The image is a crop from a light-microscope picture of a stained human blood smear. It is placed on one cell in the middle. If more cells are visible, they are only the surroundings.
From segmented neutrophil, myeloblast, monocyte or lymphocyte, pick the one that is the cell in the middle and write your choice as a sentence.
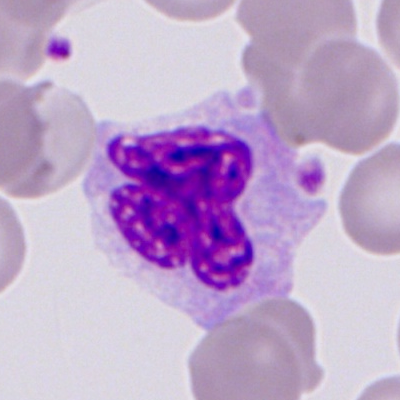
The cell of interest, located centrally, is a monocyte.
